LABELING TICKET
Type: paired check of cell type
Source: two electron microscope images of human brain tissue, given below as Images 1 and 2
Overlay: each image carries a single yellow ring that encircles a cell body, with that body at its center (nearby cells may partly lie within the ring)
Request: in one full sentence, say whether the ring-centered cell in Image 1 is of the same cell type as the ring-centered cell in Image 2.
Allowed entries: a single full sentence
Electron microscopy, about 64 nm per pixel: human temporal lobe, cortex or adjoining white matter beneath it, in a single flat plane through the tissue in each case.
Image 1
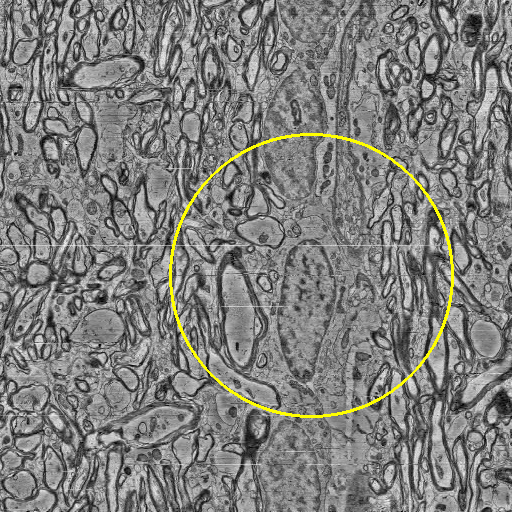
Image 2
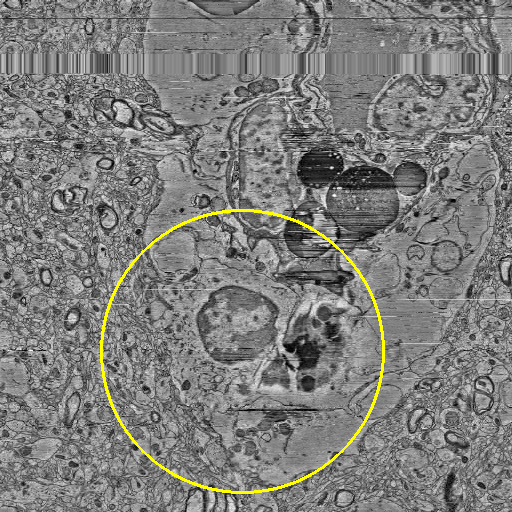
Yes, the cells centered in the rings of Image 1 and Image 2 share one type.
